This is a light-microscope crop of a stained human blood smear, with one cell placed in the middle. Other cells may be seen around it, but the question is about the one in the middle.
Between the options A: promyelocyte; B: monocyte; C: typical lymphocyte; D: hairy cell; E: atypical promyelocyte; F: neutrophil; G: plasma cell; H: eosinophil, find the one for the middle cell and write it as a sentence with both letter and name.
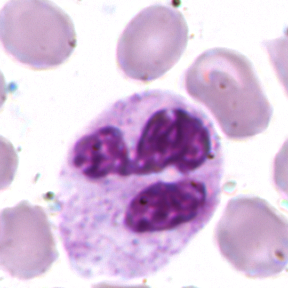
That middle cell is a neutrophil, and option F is therefore correct.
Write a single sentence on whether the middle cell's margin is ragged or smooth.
Thanks for asking; the cell edge is smooth and has no projections.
